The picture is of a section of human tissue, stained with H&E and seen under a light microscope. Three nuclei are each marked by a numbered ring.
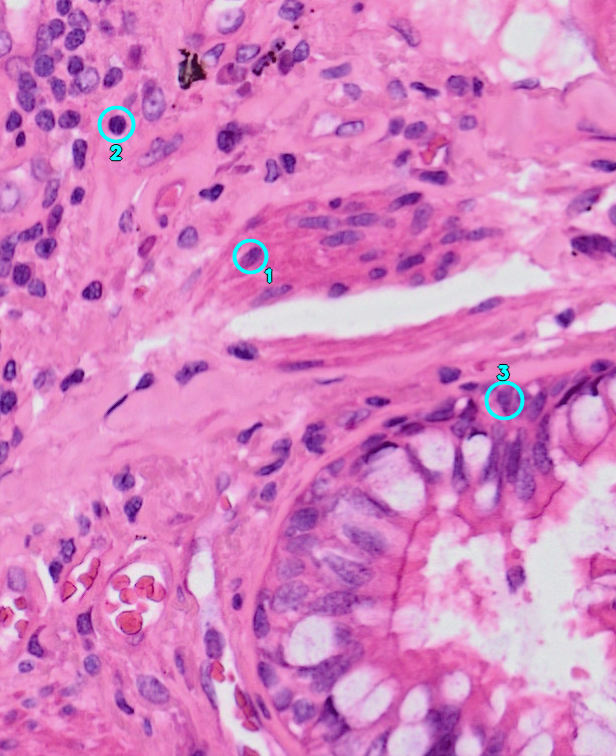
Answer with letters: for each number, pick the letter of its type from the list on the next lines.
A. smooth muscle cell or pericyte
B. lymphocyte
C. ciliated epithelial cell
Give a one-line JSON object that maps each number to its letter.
{"1": "A", "2": "B", "3": "C"}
